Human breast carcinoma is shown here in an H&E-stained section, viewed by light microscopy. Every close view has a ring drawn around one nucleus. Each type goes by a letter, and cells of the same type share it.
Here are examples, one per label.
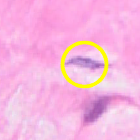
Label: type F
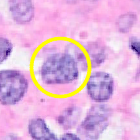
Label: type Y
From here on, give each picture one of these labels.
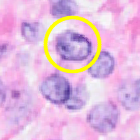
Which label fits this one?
type Y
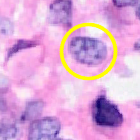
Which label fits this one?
type Y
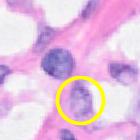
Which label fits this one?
type Y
